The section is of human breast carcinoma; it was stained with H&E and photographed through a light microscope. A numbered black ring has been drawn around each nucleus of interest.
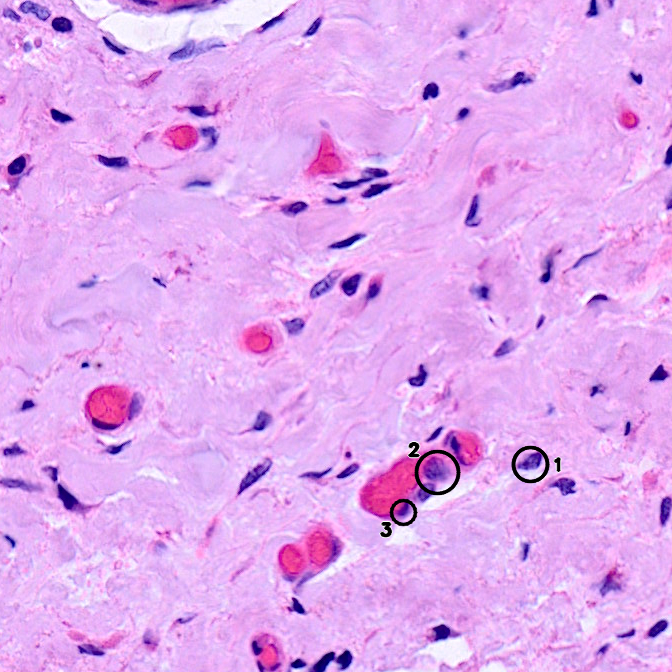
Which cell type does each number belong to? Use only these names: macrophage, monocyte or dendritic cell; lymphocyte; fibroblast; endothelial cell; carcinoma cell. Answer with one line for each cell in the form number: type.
1: fibroblast
2: endothelial cell
3: endothelial cell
